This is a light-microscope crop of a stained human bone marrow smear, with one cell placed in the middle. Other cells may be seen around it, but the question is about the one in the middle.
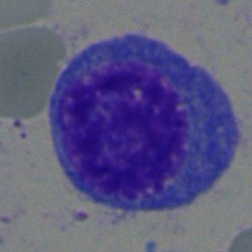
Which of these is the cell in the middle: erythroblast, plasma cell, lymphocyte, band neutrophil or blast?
plasma cell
